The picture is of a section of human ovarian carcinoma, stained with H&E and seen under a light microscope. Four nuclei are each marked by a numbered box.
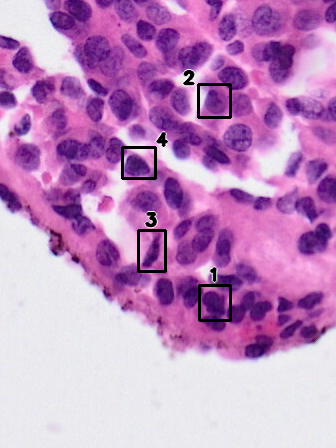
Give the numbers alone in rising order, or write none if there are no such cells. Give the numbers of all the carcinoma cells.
1, 2, 4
